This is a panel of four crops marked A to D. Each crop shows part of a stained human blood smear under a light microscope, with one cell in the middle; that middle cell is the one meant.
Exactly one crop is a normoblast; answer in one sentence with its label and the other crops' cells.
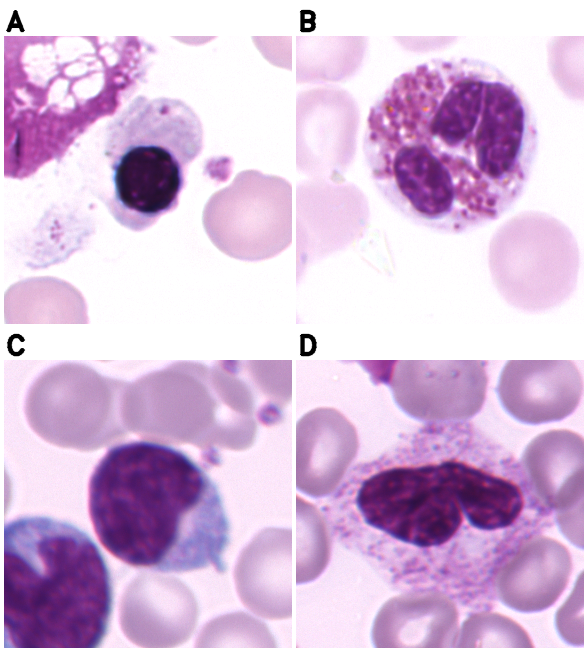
Crop A is a normoblast; as for the rest, crop B is an eosinophil, crop C is a typical lymphocyte and crop D is a segmented neutrophil.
